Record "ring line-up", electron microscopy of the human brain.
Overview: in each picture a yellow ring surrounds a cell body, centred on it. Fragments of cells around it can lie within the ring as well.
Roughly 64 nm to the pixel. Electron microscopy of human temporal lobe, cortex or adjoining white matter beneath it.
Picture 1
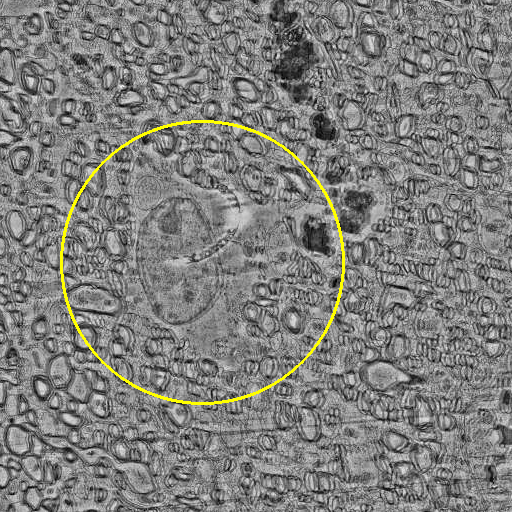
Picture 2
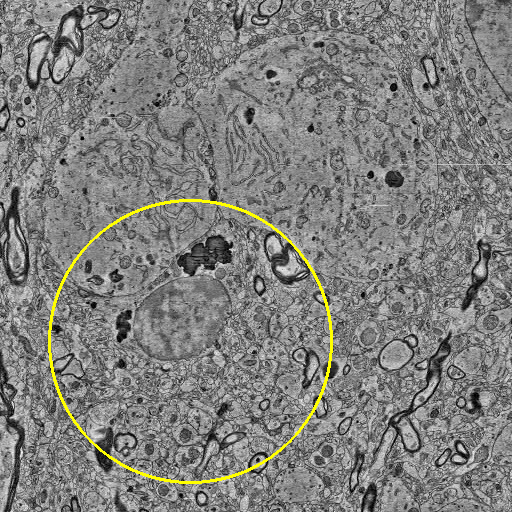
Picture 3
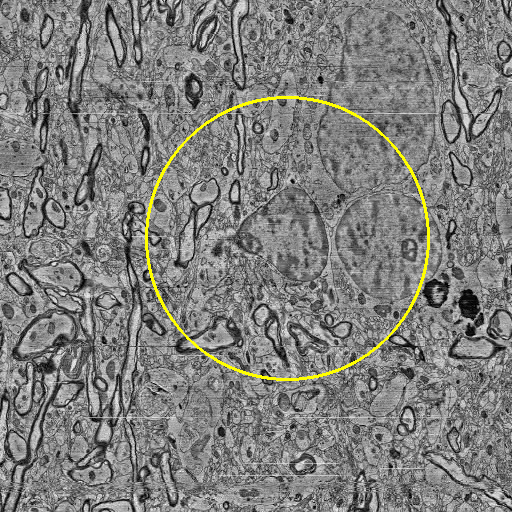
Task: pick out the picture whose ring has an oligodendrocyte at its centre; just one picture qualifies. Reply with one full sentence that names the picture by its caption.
Going by the cell at the ring's centre, the right choice is Picture 2.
